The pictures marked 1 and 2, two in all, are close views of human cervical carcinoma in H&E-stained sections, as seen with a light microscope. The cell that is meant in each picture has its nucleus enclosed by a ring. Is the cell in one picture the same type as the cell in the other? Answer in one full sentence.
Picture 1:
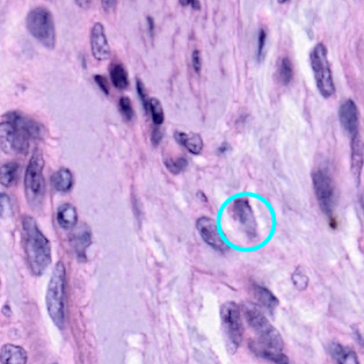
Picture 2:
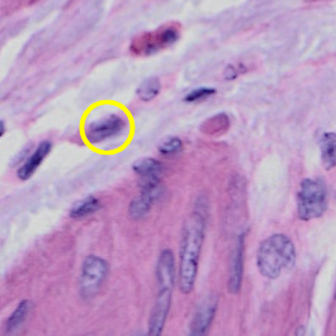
Yes, both are “macrophages or monocytes”.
